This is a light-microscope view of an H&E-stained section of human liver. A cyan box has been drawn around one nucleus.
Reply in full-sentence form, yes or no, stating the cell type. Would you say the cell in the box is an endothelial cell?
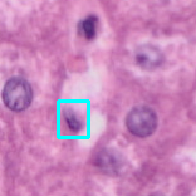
No, the cell in the box counts as a Kupffer cell rather than as an endothelial cell.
